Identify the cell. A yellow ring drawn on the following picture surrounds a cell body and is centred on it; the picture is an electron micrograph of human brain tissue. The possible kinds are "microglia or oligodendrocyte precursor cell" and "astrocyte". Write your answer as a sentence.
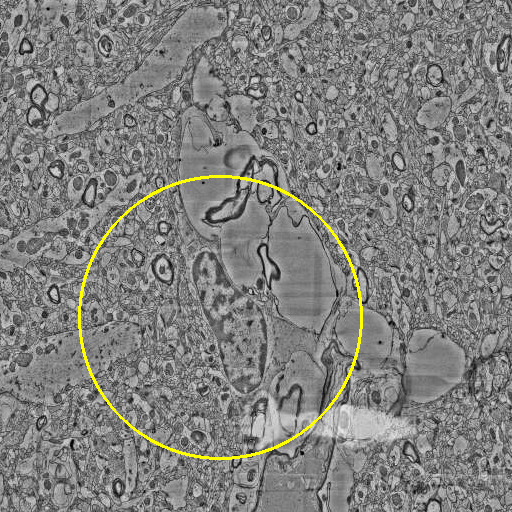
The cell identified by the ring is a microglial cell or oligodendrocyte precursor cell.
